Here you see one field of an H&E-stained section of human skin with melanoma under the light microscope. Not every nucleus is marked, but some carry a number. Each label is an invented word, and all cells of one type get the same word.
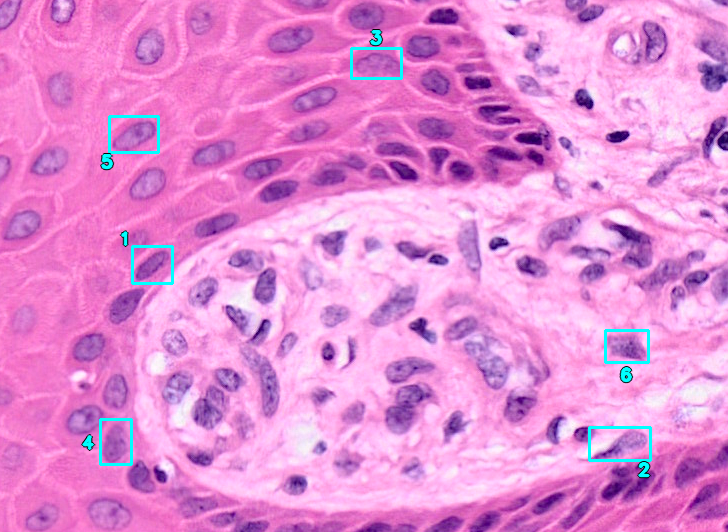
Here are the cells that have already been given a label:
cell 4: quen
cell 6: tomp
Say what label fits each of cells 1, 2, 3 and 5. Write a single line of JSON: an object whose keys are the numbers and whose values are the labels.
{"1": "quen", "2": "tomp", "3": "quen", "5": "quen"}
